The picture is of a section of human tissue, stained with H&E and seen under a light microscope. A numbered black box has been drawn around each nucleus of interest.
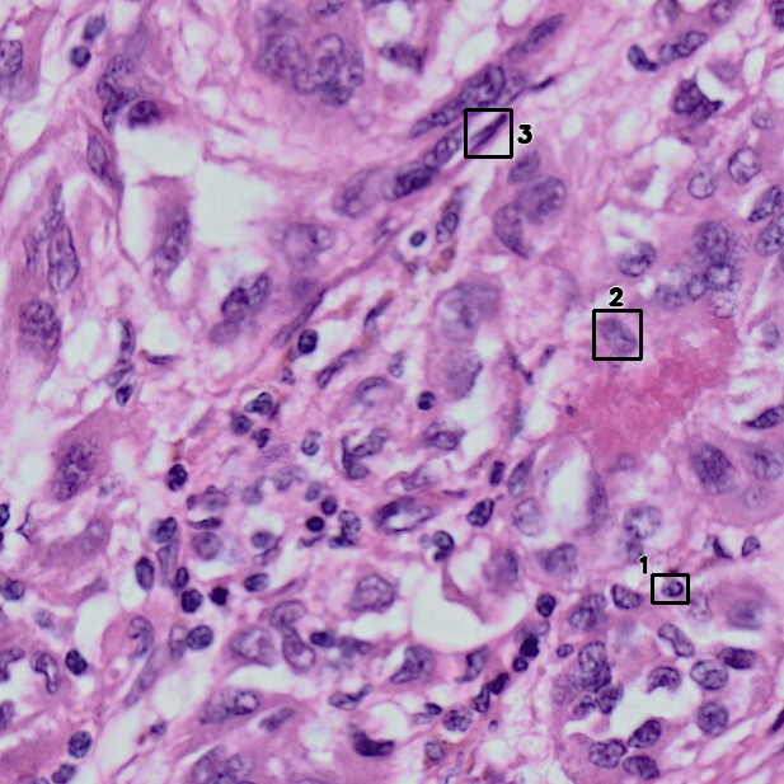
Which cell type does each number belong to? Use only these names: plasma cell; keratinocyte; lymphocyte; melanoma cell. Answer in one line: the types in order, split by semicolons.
lymphocyte; melanoma cell; melanoma cell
